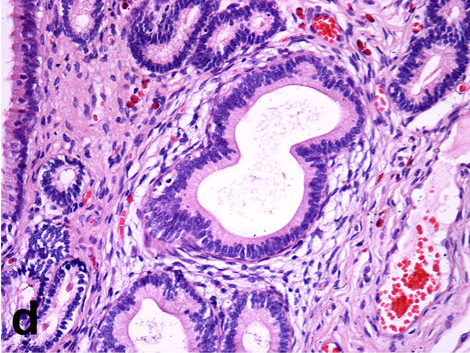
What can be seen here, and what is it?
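This is endometrium with tubular glands lined by columnar epithelium set in a pink stroma. Smaller glands with similar lining lie at the edges of the field. Blood vessels filled with red blood cells are seen in the stroma at the right and upper centre.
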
